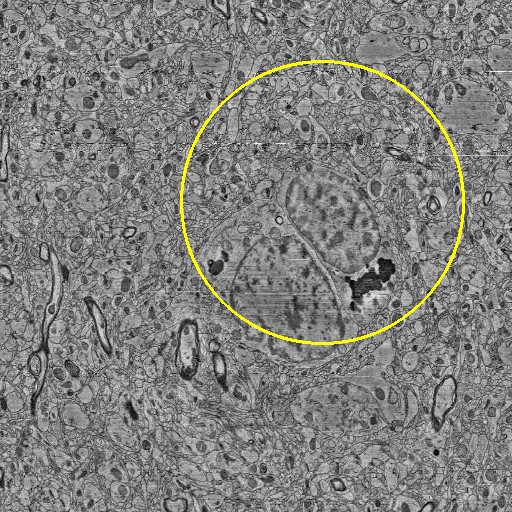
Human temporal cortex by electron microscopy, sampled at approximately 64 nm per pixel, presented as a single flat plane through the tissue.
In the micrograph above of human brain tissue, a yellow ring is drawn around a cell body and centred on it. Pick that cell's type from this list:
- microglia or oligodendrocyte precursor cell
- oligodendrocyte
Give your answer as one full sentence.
Going by the list, an oligodendrocyte is the cell on which the yellow ring is centred.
